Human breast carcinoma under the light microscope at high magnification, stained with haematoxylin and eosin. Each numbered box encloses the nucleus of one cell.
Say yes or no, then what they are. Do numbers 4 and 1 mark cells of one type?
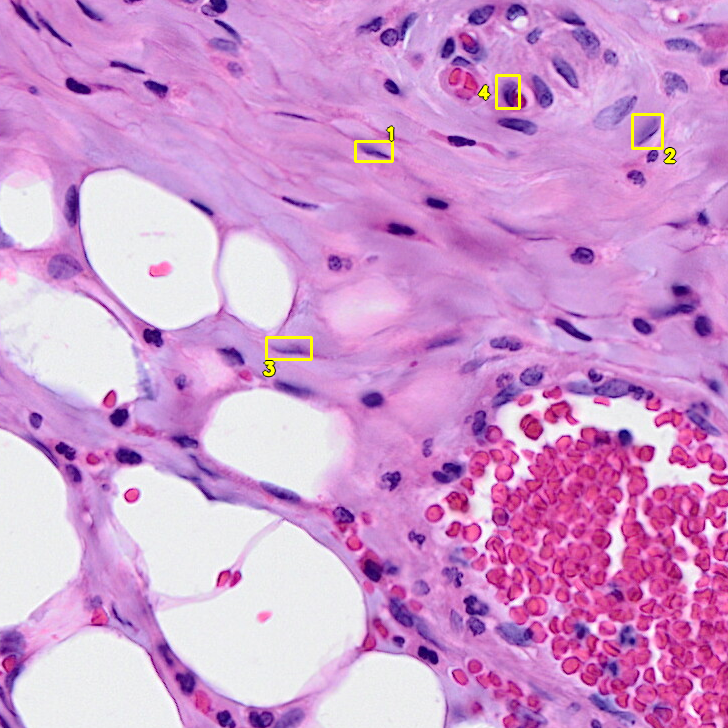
No, mate, cell 4 is an endothelial cell and cell 1 is a fibroblast.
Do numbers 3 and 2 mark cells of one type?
Yes, along with cell 3, cell 2 is also among the fibroblasts.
